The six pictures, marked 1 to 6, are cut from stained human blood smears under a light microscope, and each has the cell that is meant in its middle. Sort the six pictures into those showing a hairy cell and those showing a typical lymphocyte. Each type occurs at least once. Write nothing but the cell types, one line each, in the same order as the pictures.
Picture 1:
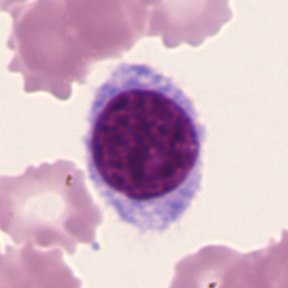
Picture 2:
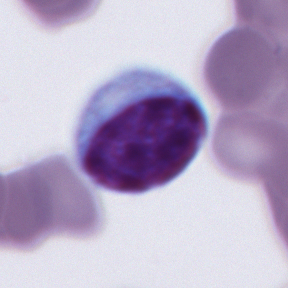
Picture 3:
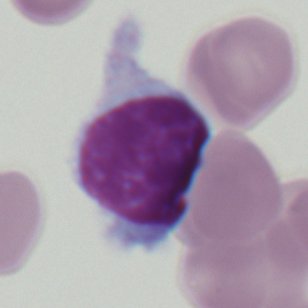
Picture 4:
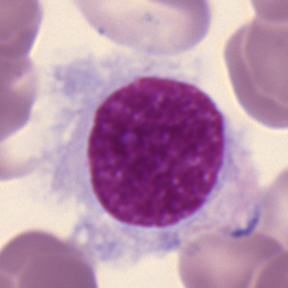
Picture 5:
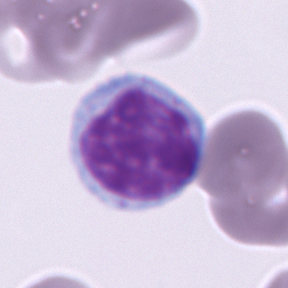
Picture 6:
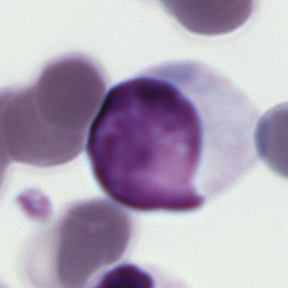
hairy cell
typical lymphocyte
typical lymphocyte
hairy cell
typical lymphocyte
typical lymphocyte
